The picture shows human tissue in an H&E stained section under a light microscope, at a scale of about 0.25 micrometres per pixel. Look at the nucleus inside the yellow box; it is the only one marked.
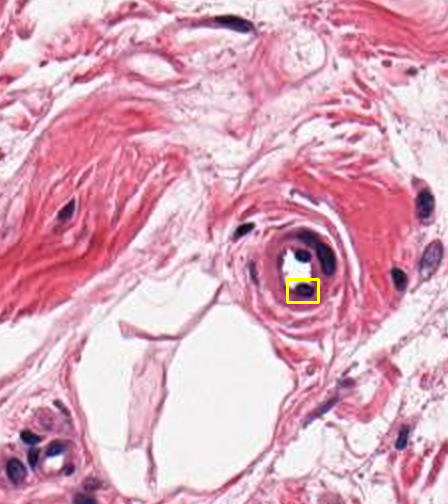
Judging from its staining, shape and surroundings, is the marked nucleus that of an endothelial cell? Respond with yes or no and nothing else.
yes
